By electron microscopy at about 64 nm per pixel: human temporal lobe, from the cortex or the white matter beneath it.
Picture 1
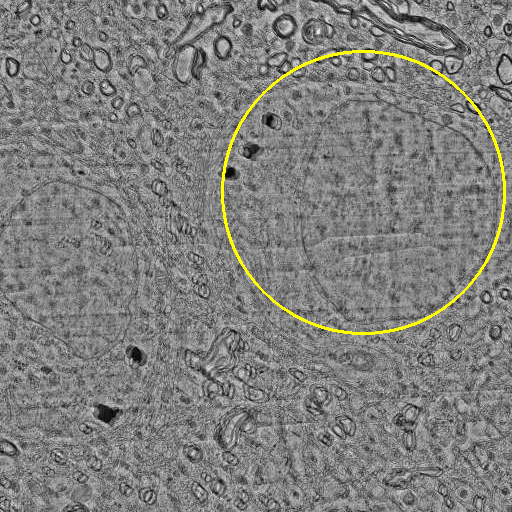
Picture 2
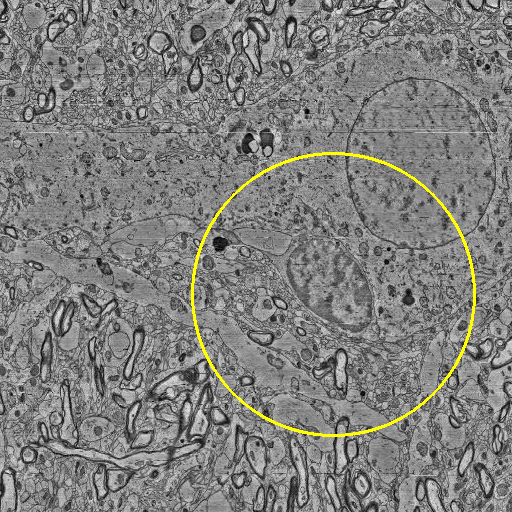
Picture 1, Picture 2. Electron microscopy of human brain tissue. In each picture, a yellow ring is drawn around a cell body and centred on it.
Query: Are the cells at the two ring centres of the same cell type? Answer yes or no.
no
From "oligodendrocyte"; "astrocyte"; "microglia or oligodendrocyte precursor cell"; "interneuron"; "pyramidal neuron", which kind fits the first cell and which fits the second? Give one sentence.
The cell marked in the first picture is a pyramidal neuron, and the one marked in the second is an oligodendrocyte.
